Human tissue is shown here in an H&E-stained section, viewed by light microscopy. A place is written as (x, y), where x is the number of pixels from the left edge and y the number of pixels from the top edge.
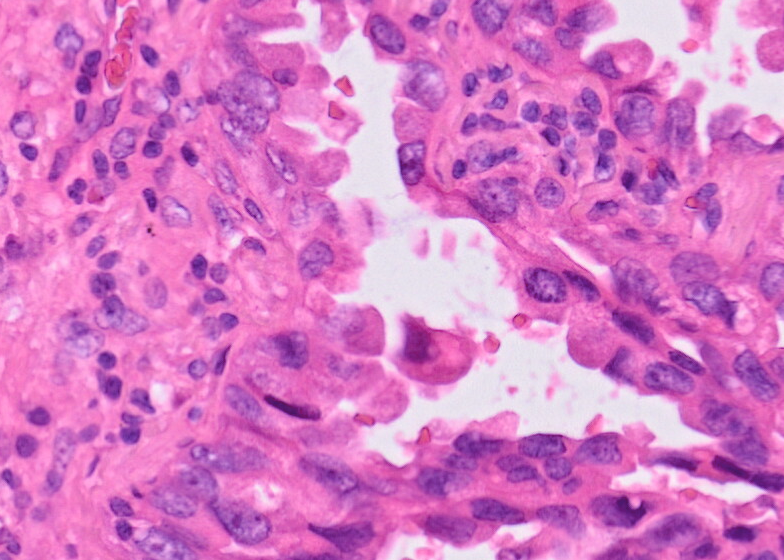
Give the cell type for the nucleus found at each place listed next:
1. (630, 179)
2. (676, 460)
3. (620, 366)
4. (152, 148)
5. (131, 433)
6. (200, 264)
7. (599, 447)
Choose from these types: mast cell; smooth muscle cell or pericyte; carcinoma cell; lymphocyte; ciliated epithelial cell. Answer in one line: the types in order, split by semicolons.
lymphocyte; carcinoma cell; carcinoma cell; lymphocyte; lymphocyte; lymphocyte; carcinoma cell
